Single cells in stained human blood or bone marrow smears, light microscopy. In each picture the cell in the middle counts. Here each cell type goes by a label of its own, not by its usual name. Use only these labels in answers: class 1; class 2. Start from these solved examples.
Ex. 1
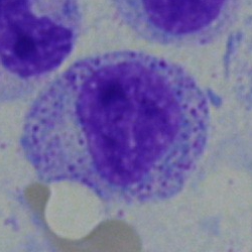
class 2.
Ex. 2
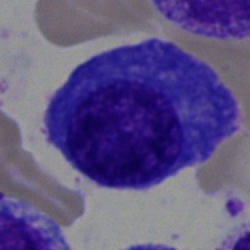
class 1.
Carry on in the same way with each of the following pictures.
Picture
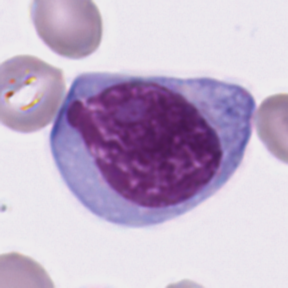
class 1.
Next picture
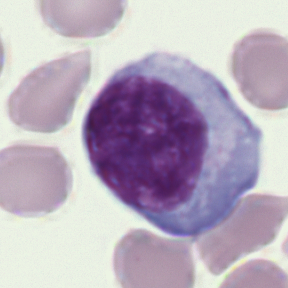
class 1.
